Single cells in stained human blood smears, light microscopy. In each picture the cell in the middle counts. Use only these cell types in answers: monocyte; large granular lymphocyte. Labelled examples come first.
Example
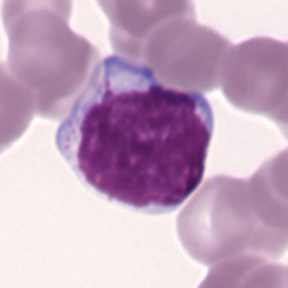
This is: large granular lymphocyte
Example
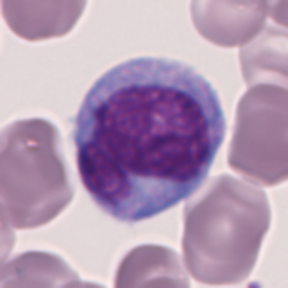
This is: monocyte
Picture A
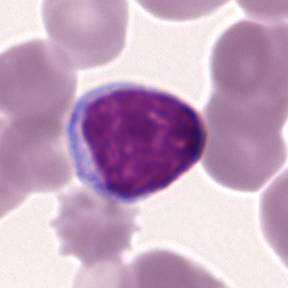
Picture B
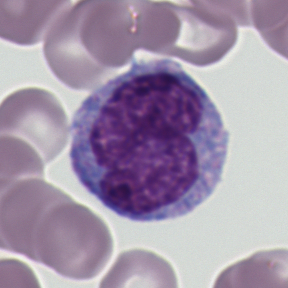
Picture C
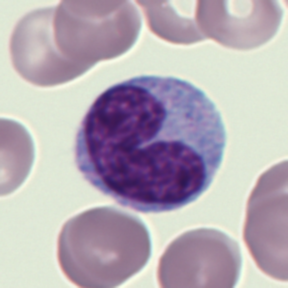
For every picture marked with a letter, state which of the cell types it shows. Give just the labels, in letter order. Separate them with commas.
large granular lymphocyte, monocyte, monocyte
